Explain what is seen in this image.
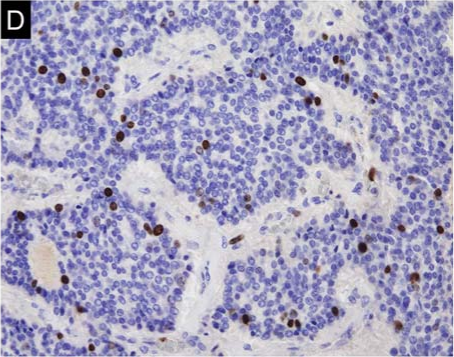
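These are small, round tumor cells in nests and cords, separated by pale stroma. Most nuclei are blue. Only a scattered few nuclei are stained dark brown.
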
